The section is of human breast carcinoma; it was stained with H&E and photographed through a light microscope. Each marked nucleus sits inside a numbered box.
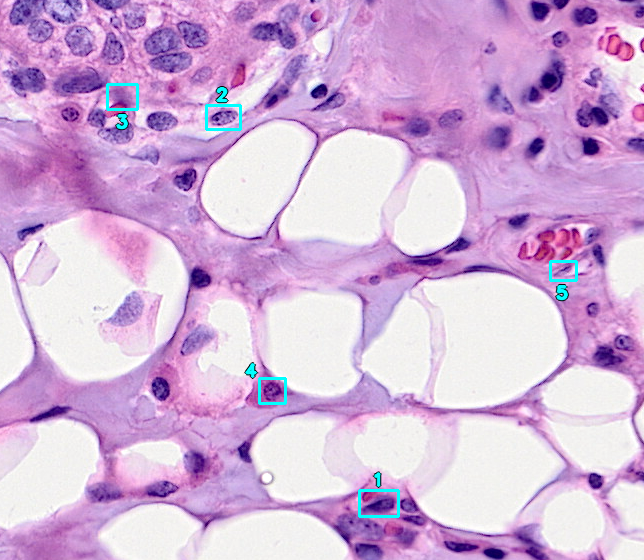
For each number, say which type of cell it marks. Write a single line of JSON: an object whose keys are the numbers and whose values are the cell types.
{"1": "endothelial cell", "2": "mast cell", "3": "endothelial cell", "4": "mast cell", "5": "endothelial cell"}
